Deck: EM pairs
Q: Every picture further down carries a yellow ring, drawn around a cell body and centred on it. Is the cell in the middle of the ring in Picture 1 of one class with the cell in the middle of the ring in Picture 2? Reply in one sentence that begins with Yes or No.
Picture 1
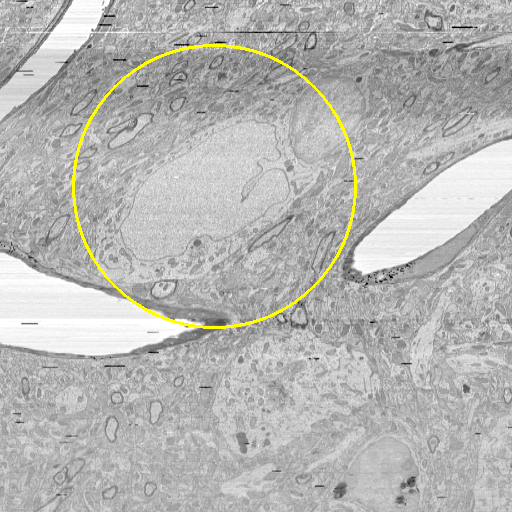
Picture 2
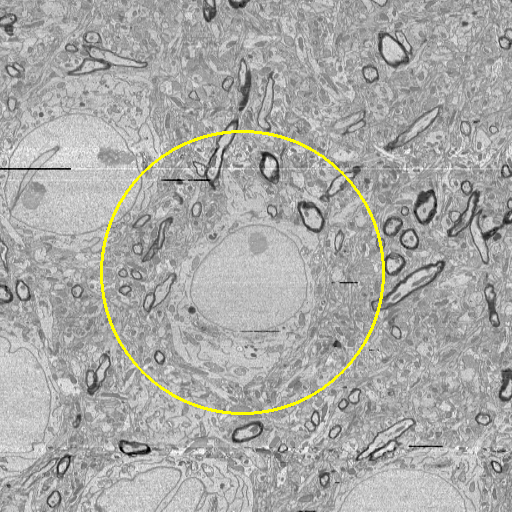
Yes, the cell centred in the ring of Picture 1 and the one in Picture 2 belong to one class.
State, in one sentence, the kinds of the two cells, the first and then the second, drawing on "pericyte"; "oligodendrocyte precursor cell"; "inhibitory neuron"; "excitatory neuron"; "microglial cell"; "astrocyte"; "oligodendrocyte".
In both pictures the ring is centred on an excitatory neuron.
